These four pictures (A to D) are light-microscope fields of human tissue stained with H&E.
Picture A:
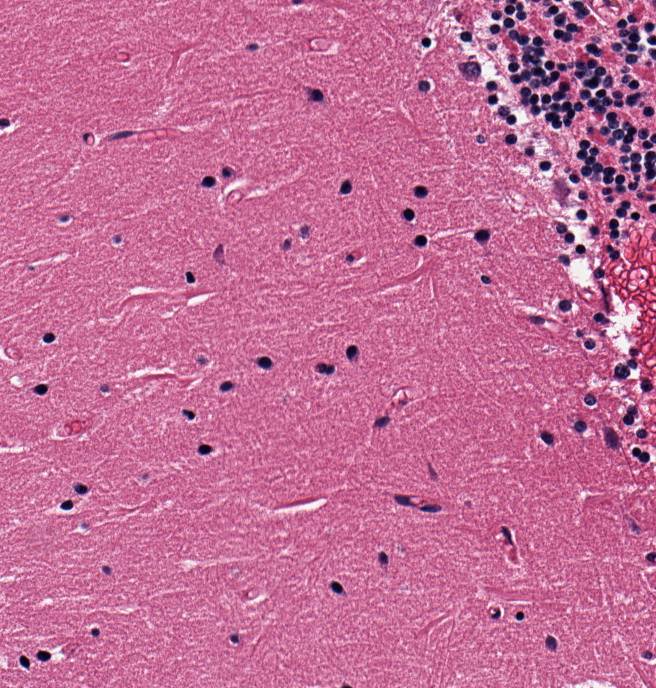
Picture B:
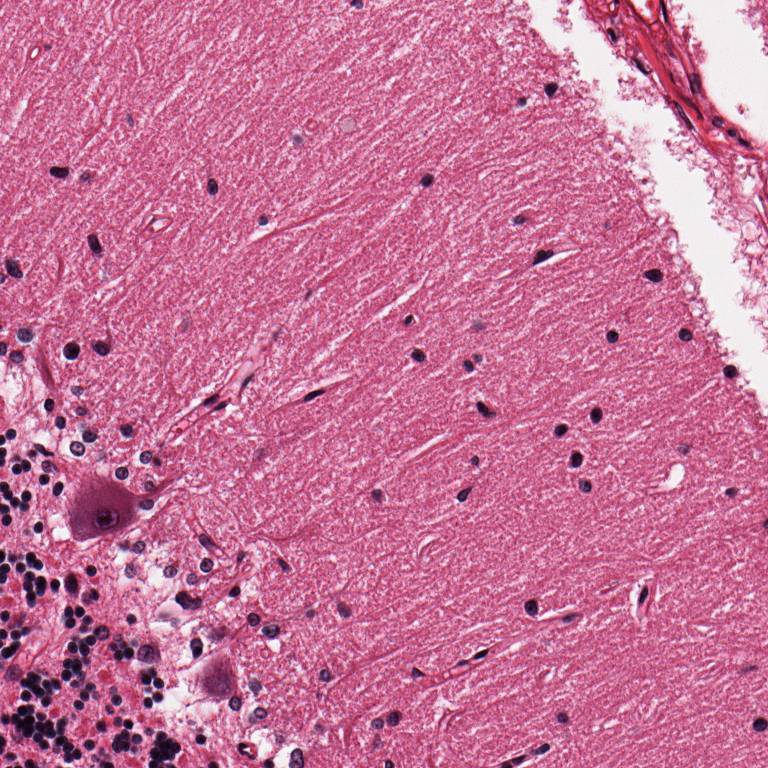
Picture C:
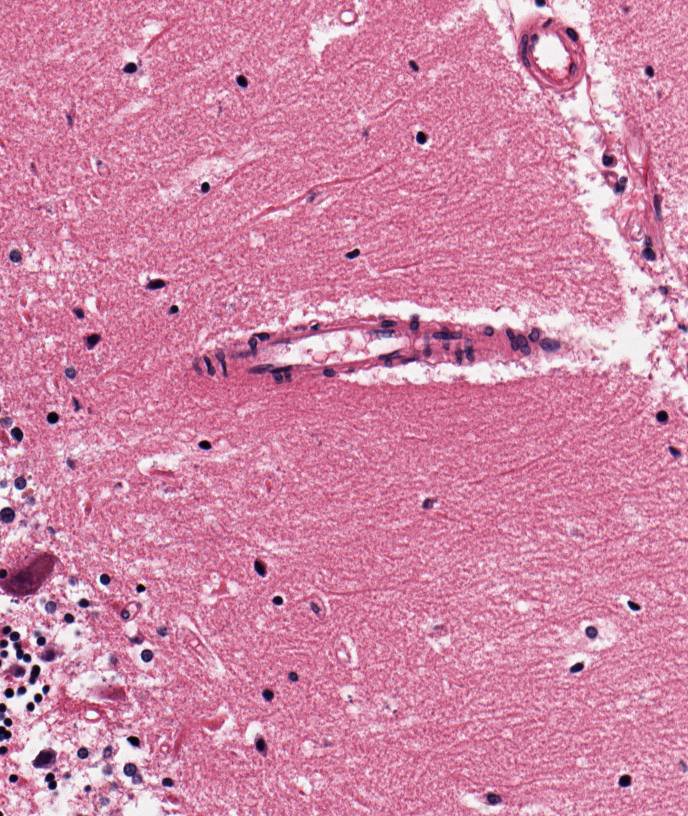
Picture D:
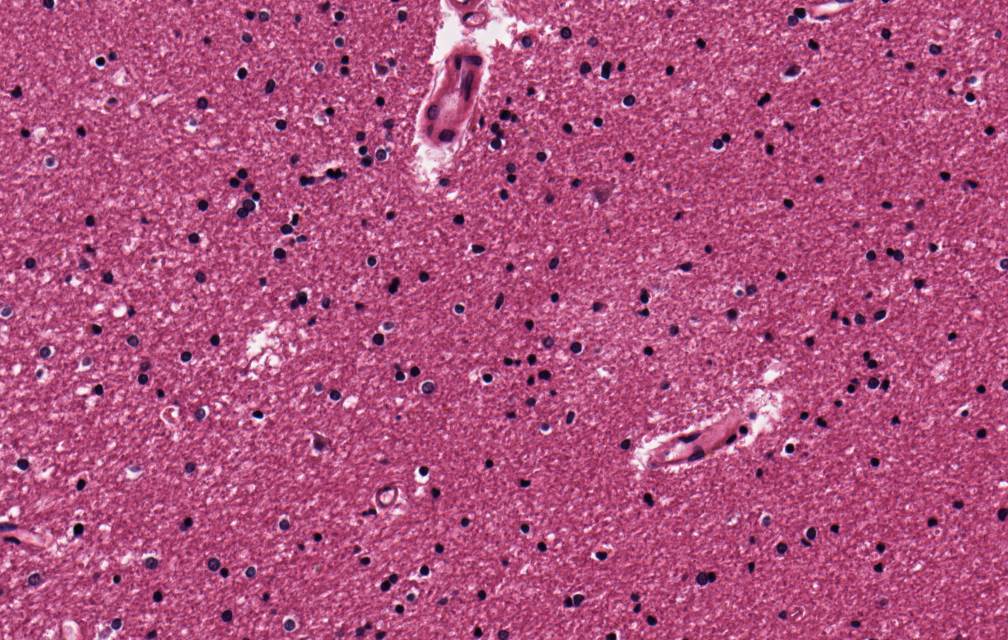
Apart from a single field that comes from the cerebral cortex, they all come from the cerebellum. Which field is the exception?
D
